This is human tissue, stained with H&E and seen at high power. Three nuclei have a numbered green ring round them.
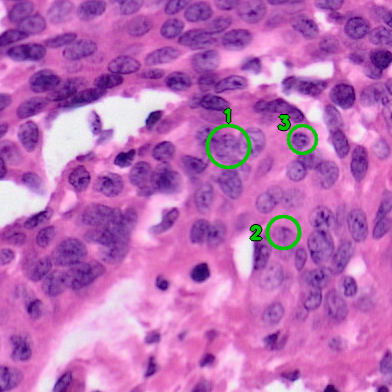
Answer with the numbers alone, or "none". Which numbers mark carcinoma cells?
1, 2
